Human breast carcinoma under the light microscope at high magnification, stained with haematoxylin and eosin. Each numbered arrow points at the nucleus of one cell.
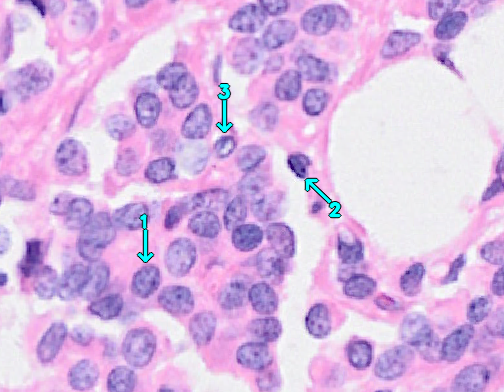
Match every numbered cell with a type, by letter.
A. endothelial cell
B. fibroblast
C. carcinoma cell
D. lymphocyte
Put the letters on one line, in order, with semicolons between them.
C; D; A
